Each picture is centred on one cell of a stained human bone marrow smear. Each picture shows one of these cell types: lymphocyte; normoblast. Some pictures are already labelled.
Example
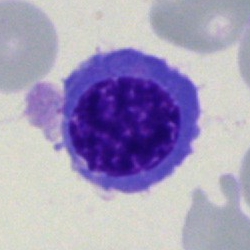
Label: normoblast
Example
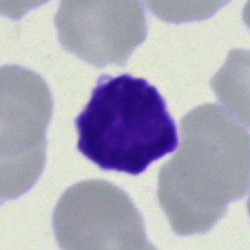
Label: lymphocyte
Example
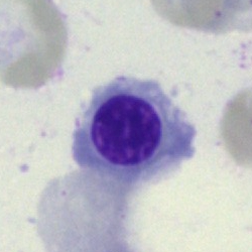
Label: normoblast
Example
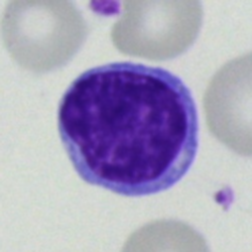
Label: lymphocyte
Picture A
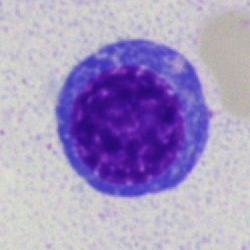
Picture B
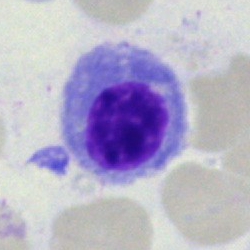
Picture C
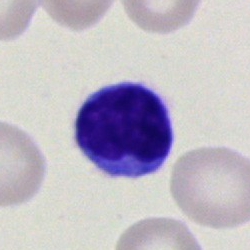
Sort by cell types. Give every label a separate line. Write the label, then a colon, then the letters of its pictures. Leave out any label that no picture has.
lymphocyte: C
normoblast: A, B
